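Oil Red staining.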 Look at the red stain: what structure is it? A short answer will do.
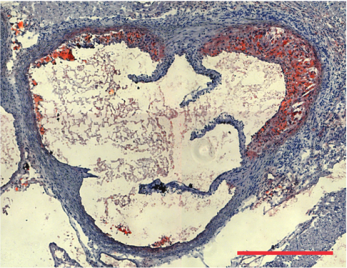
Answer: Atherosclerotic plaque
